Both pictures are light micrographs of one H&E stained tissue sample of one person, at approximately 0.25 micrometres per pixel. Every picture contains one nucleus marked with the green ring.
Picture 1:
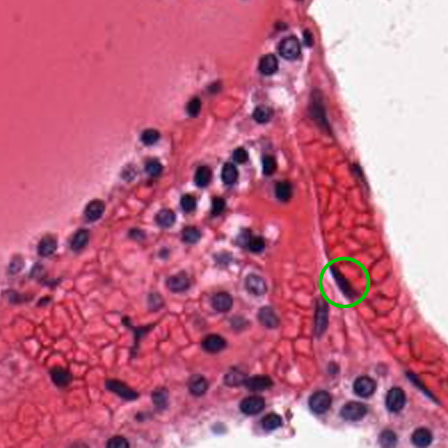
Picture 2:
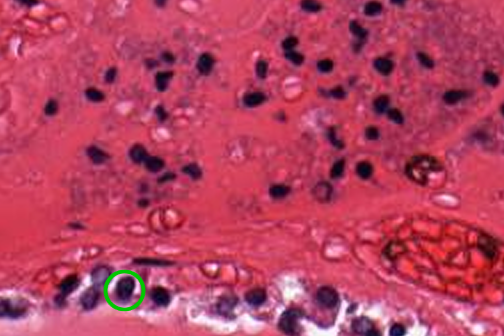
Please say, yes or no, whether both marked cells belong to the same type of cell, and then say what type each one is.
No, the first is an endothelial cell and the second a thyroid follicular cell.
